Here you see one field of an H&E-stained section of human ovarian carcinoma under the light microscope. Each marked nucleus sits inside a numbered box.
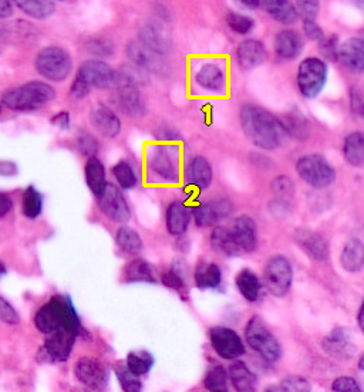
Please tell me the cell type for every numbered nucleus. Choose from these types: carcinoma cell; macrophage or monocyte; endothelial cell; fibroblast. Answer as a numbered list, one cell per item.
1. macrophage or monocyte
2. carcinoma cell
